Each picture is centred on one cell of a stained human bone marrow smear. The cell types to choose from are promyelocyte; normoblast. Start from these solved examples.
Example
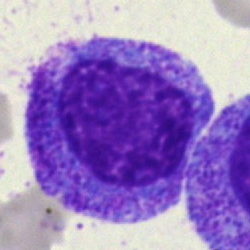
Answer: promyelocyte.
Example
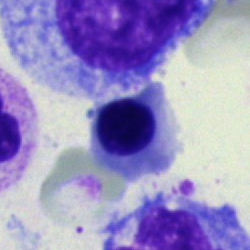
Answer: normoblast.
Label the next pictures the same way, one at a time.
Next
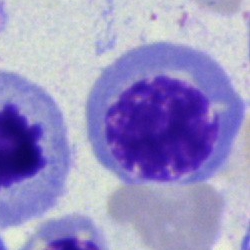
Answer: normoblast.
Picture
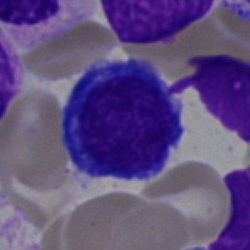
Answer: normoblast.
